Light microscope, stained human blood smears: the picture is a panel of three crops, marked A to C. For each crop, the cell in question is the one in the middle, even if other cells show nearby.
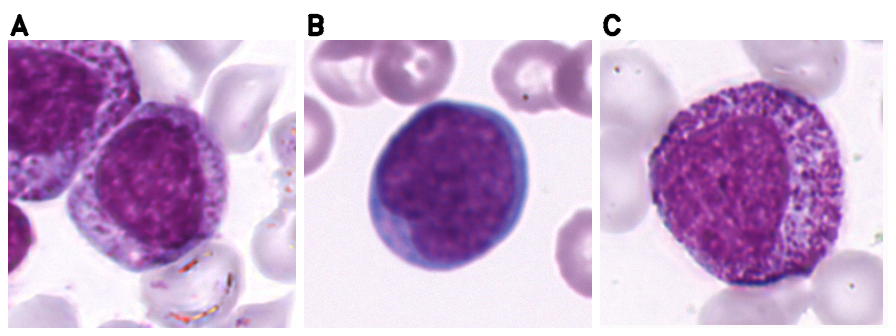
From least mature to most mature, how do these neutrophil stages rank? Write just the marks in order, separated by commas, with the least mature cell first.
B, C, A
